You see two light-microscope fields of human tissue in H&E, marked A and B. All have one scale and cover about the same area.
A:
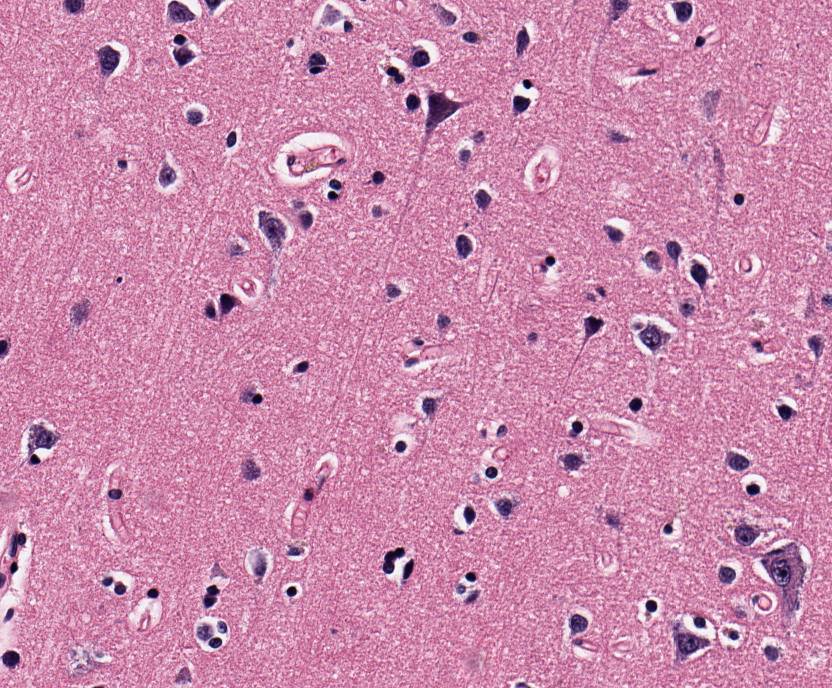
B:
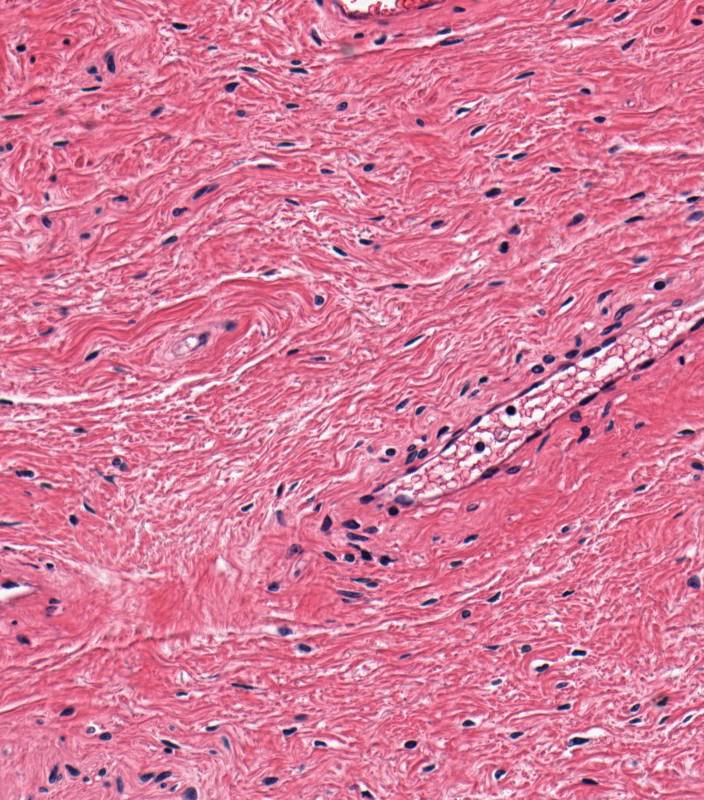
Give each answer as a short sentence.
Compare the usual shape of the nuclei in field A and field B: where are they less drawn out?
On the whole the nuclei of field A are rounder than those of field B.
